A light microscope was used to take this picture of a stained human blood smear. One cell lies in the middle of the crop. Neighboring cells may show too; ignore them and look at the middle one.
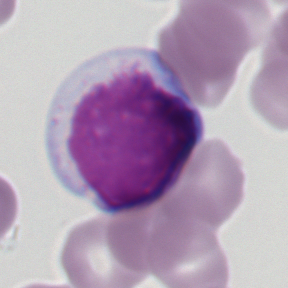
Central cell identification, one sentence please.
The central cell, amid any neighbouring cells, is a large granular lymphocyte.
